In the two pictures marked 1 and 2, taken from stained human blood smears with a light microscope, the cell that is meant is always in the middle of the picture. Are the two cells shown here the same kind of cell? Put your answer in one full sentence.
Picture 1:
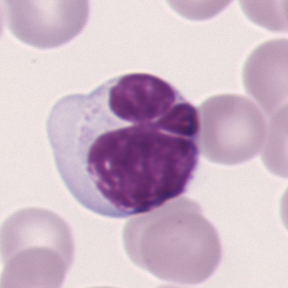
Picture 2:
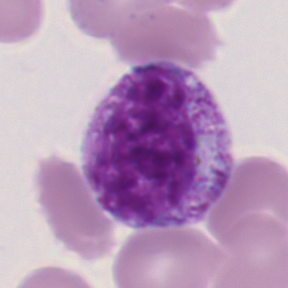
No, picture 1 shows a large granular lymphocyte and picture 2 shows a myelocyte.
